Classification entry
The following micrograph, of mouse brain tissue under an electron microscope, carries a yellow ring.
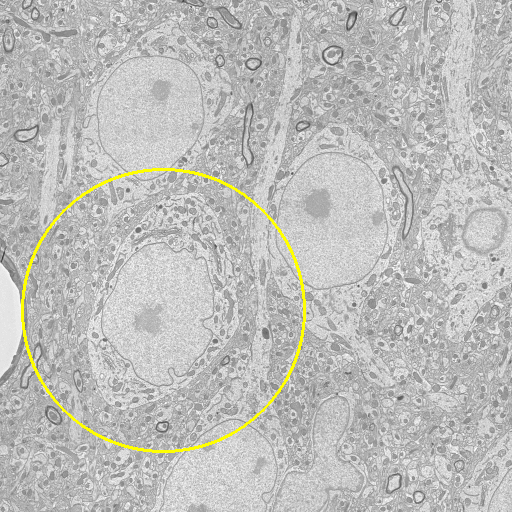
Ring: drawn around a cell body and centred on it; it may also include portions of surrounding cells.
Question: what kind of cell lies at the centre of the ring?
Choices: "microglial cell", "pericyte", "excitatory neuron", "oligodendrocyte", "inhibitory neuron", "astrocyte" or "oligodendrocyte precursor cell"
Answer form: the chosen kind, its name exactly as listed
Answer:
inhibitory neuron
